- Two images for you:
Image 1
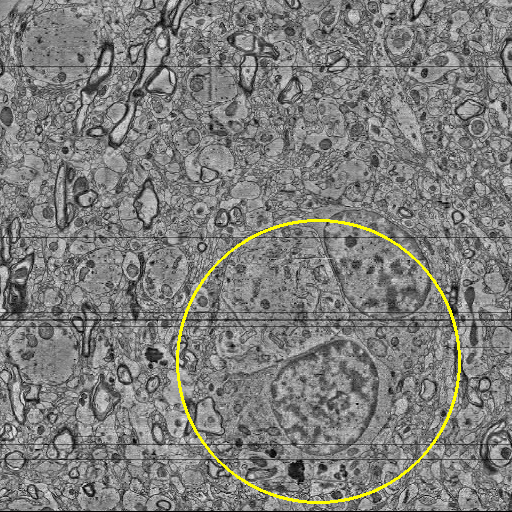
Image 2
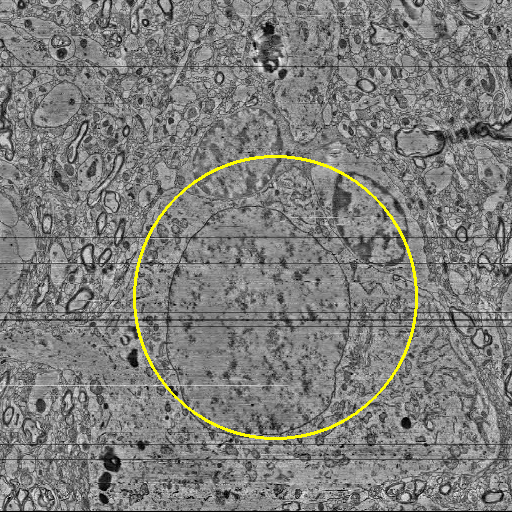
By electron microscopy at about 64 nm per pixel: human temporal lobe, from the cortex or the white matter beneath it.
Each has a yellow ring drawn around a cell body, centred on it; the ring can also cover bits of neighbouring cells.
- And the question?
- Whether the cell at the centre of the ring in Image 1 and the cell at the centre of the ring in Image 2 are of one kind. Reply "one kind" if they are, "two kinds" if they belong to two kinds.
two kinds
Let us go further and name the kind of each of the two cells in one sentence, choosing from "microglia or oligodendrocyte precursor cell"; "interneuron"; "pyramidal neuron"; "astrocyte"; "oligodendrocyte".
The ring of the first picture is on an oligodendrocyte, the ring of the second on a pyramidal neuron.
